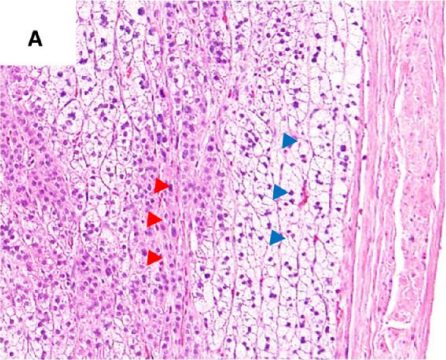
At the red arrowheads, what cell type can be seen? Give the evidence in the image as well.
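The marked cells have denser pink cytoplasm than the pale cells to their right. They lie packed closely together in the left part of the field. So: eosinophil cells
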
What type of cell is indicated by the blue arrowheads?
Clear cells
